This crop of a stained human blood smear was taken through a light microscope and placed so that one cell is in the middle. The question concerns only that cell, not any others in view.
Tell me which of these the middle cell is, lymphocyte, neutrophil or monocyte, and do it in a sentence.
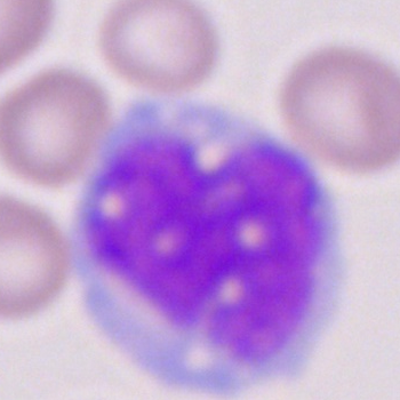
What sits at the centre of this crop is a monocyte.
